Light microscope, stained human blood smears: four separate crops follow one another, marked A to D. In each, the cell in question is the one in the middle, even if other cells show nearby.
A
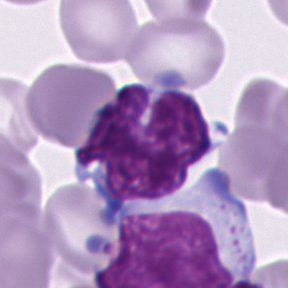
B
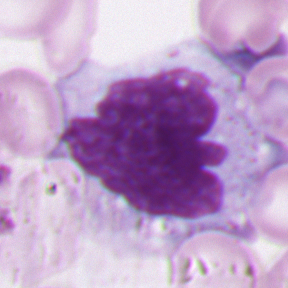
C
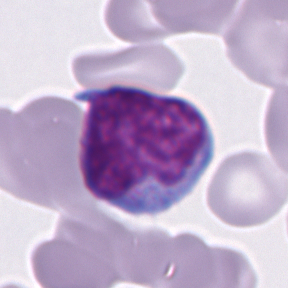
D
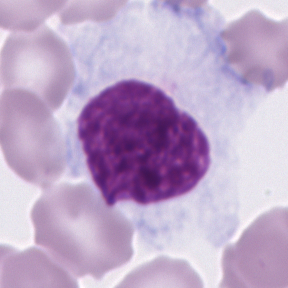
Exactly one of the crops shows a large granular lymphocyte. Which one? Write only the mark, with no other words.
A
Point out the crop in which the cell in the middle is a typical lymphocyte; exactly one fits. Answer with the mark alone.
C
